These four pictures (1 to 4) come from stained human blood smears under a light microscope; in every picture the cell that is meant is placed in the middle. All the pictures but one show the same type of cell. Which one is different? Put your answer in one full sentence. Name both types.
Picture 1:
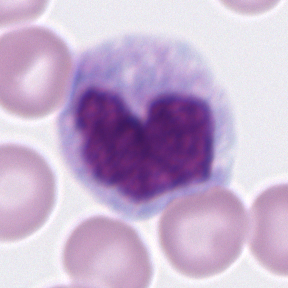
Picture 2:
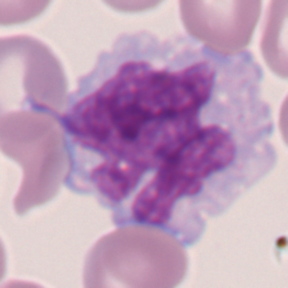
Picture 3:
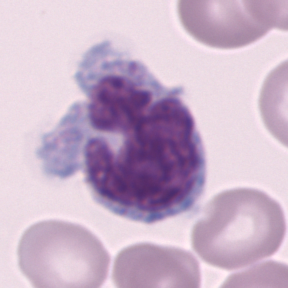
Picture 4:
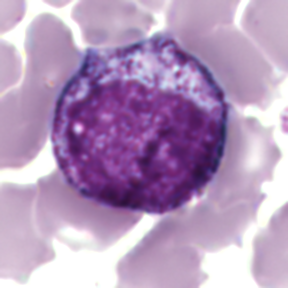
Picture 4 is the odd one out: it shows a myelocyte, while the others show monocytes.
